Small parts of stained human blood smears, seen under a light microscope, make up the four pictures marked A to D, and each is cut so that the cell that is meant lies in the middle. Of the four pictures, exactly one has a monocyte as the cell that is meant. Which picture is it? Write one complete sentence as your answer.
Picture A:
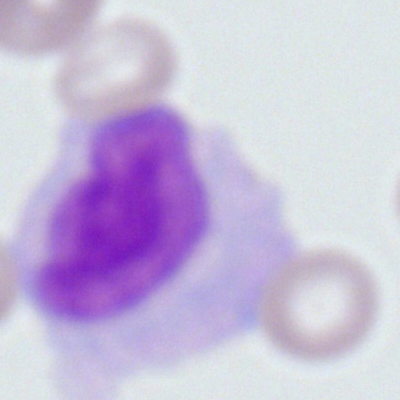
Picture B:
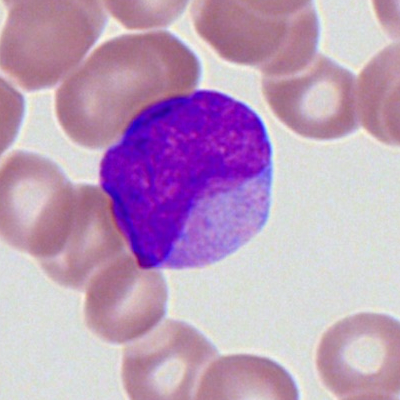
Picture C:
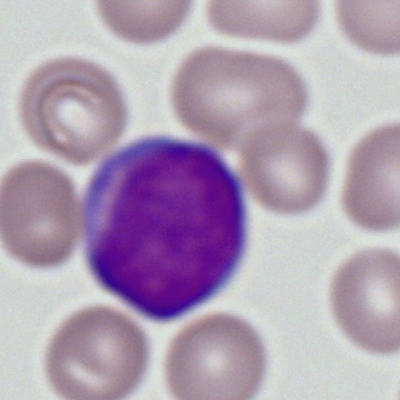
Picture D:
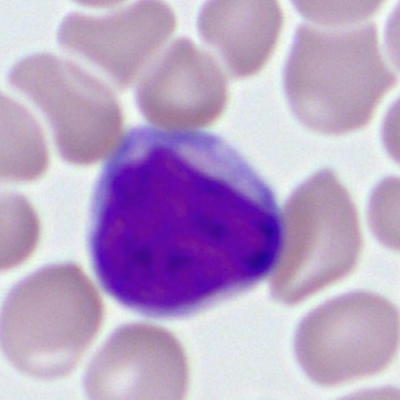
It is picture A that shows the monocyte.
